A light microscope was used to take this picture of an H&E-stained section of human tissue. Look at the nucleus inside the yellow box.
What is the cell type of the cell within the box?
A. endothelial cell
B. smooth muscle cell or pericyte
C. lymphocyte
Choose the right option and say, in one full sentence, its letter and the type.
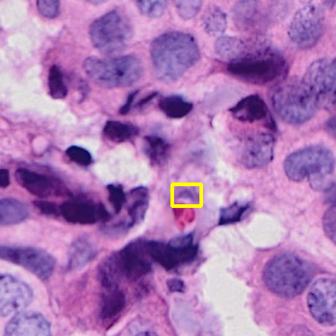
Option A is correct in stating that the cell within the box is an endothelial cell.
